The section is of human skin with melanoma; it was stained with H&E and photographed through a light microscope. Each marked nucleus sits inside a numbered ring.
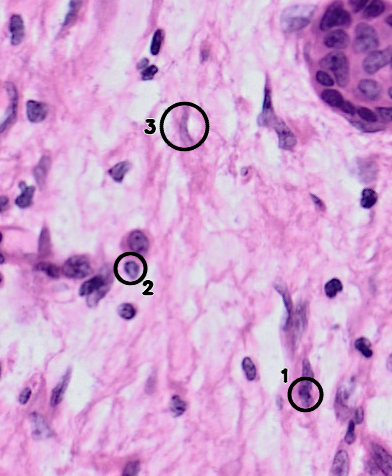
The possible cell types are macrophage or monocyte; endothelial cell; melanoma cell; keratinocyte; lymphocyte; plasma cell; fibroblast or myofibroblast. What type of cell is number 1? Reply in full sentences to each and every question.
The marked cell with the number 1 is recognised as a macrophage or monocyte.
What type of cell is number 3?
The cell assigned the number 3 is a fibroblast or myofibroblast.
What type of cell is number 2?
Of the numbered cells, the one labelled 2 is a lymphocyte.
